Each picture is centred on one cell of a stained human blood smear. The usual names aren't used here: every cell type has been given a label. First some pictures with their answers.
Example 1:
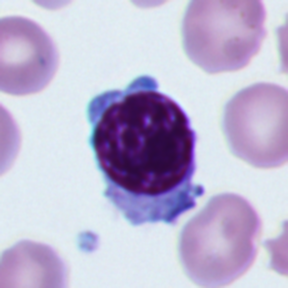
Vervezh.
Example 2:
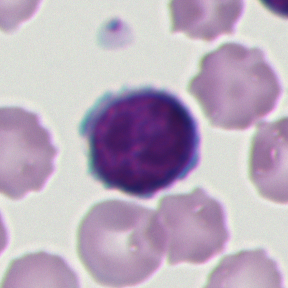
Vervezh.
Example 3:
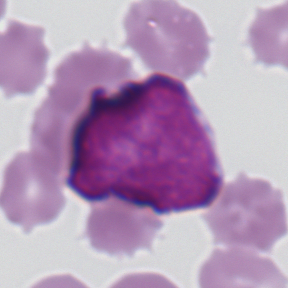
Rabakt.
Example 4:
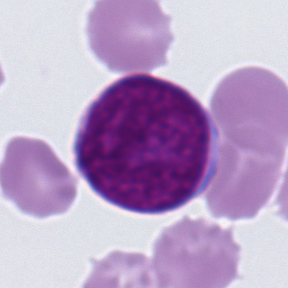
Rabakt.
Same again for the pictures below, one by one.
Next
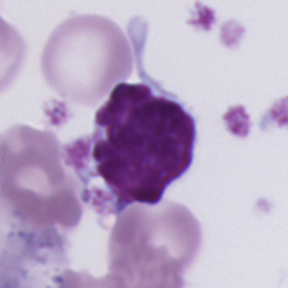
Vervezh.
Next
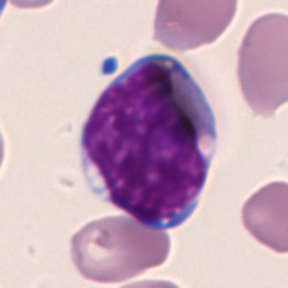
Rabakt.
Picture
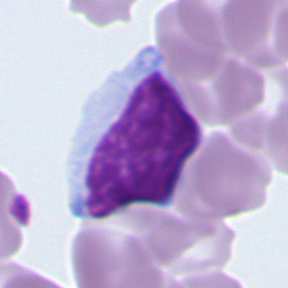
Vervezh.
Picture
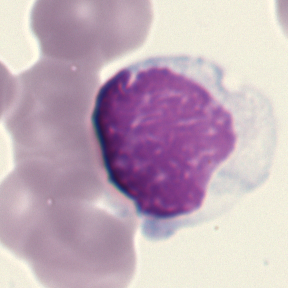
Vervezh.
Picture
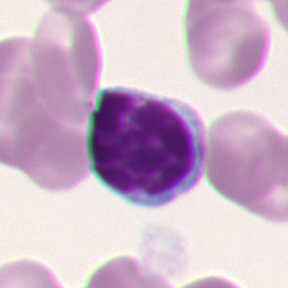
Vervezh.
